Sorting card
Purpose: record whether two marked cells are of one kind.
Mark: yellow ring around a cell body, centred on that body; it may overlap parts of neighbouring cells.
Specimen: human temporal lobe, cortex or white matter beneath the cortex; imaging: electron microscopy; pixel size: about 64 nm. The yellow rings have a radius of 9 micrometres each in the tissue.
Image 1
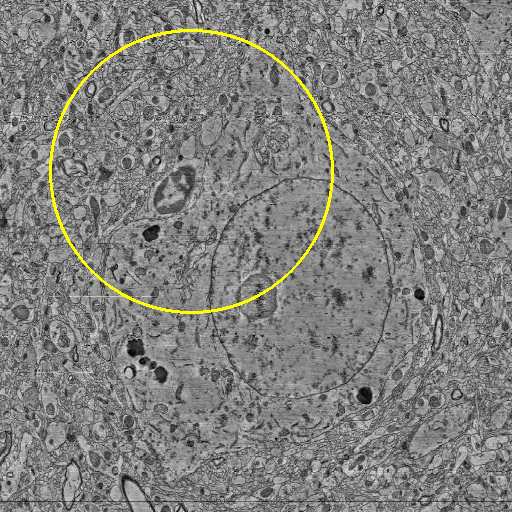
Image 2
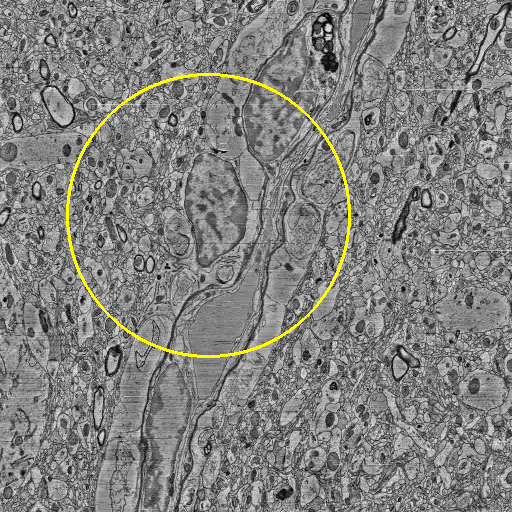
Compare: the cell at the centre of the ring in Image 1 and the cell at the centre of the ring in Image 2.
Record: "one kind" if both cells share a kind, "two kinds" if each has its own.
one kind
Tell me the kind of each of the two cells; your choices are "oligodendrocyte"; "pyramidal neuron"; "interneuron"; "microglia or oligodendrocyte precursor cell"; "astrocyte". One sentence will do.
Both the first and the second picture show a microglial cell or oligodendrocyte precursor cell in the ring.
